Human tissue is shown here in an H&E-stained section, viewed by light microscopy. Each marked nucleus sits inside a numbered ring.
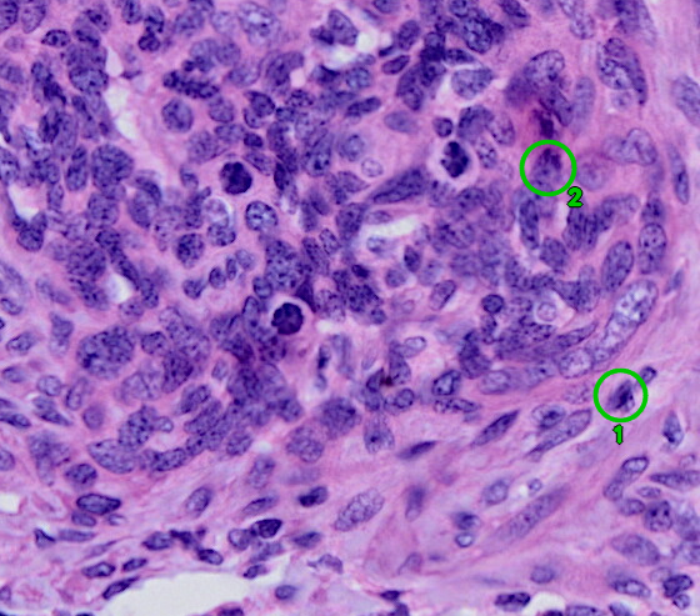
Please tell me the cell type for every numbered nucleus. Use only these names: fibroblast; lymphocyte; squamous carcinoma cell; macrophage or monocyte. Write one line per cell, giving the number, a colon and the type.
1: lymphocyte
2: squamous carcinoma cell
